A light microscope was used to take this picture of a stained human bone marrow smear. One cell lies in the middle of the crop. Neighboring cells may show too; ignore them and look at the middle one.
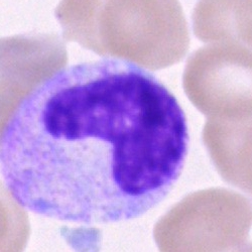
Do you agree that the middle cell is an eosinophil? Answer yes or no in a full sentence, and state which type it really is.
No, this is not an eosinophil at all; the cell in the middle is a metamyelocyte.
